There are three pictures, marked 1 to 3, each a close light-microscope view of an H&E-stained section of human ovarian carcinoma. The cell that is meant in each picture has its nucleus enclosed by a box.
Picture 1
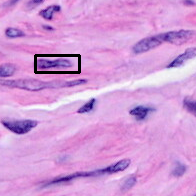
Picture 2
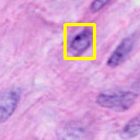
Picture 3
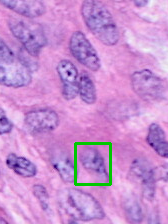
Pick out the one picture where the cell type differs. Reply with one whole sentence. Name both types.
Picture 1 is the odd one out: it shows a smooth muscle cell, while the others show fibroblasts.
